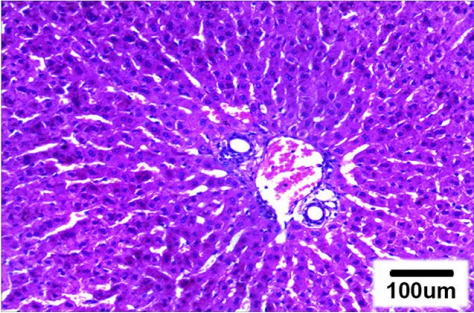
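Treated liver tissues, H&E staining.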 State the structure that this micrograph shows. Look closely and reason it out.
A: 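A central vessel containing red cells is accompanied by small round duct profiles. Thin connective tissue with dark nuclei surrounds these structures. Cords of liver cells radiate around them. So: portal areas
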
